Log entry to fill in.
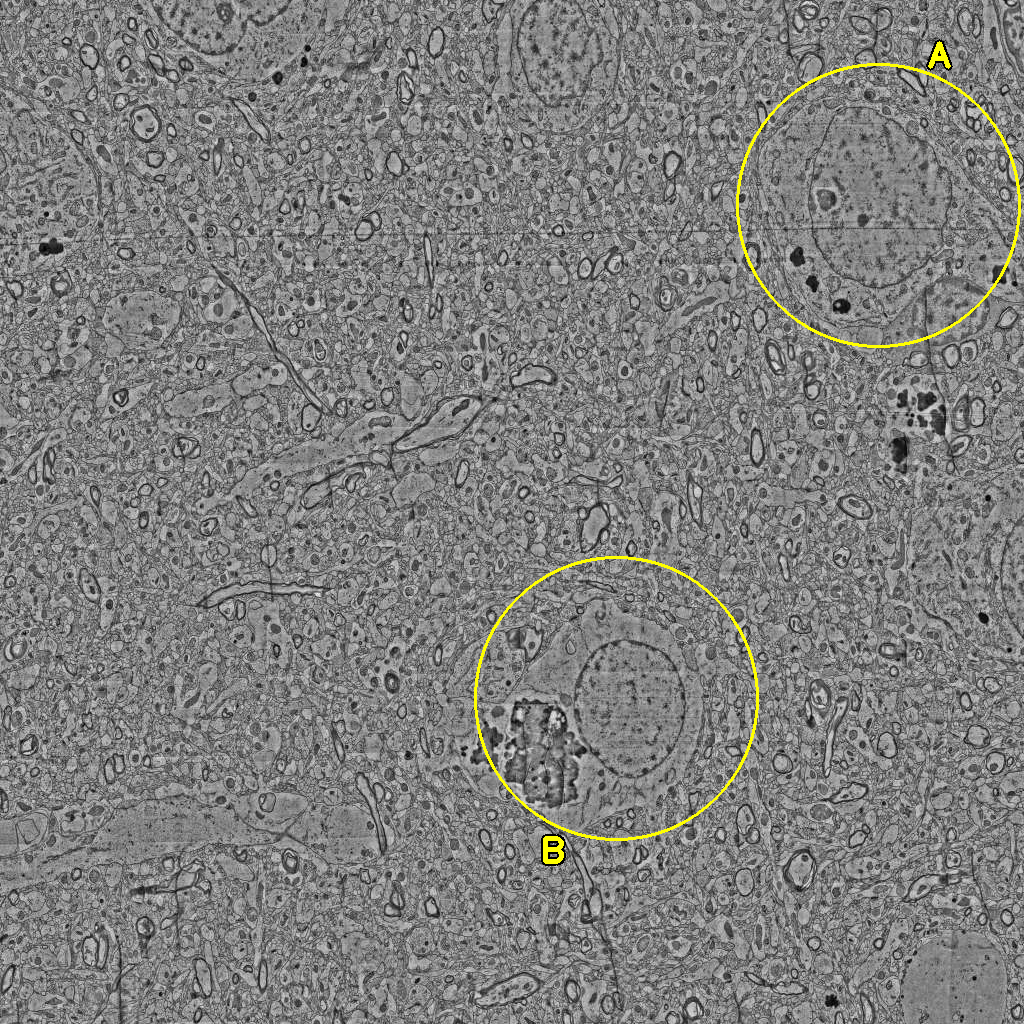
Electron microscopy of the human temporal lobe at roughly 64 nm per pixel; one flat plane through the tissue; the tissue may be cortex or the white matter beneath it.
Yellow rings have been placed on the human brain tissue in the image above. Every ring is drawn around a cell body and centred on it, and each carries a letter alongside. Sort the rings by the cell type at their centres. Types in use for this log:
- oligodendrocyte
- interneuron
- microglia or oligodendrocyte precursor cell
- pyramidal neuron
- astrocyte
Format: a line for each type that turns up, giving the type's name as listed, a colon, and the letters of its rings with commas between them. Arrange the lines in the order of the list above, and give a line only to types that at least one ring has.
microglia or oligodendrocyte precursor cell: B
pyramidal neuron: A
